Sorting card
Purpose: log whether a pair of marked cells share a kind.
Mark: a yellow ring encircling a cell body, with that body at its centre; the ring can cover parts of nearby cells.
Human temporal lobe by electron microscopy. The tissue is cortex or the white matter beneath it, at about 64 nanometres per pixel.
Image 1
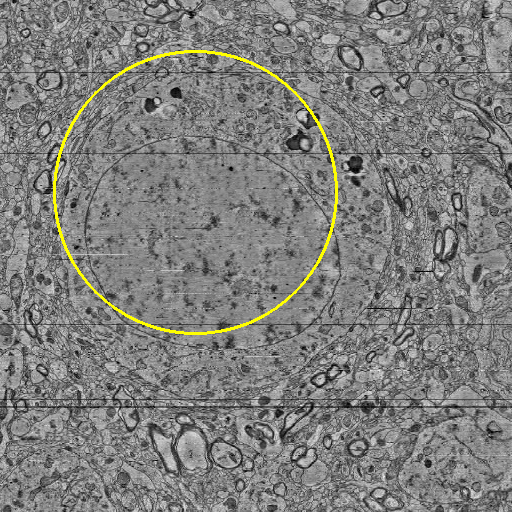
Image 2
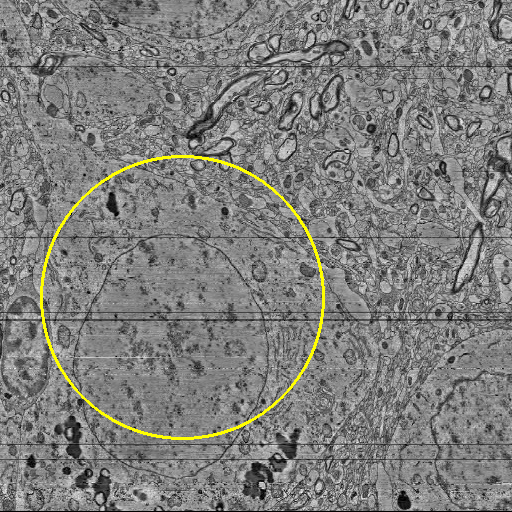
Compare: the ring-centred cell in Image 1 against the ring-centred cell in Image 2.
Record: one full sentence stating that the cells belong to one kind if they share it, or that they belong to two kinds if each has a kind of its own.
Across Images 1 and 2, the two ring-centred cells belong to one kind.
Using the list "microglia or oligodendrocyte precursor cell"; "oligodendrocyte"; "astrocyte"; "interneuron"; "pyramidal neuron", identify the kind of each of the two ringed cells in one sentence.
Both pictures show a pyramidal neuron at the centre of the ring.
